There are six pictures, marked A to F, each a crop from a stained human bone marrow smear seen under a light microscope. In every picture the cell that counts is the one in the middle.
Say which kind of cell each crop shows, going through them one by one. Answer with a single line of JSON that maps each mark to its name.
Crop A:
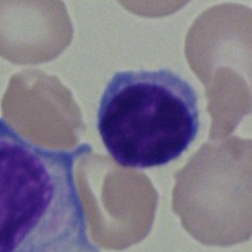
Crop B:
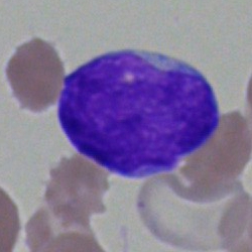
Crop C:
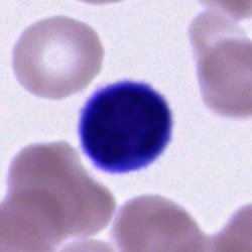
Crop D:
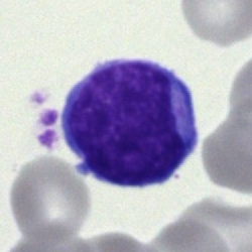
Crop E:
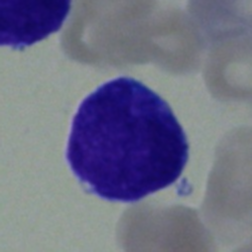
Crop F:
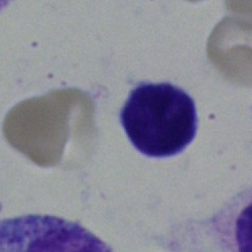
{"A": "lymphocyte", "B": "blast", "C": "lymphocyte", "D": "blast", "E": "blast", "F": "lymphocyte"}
